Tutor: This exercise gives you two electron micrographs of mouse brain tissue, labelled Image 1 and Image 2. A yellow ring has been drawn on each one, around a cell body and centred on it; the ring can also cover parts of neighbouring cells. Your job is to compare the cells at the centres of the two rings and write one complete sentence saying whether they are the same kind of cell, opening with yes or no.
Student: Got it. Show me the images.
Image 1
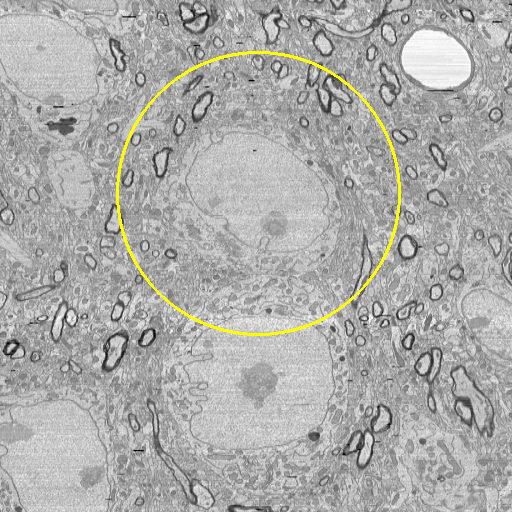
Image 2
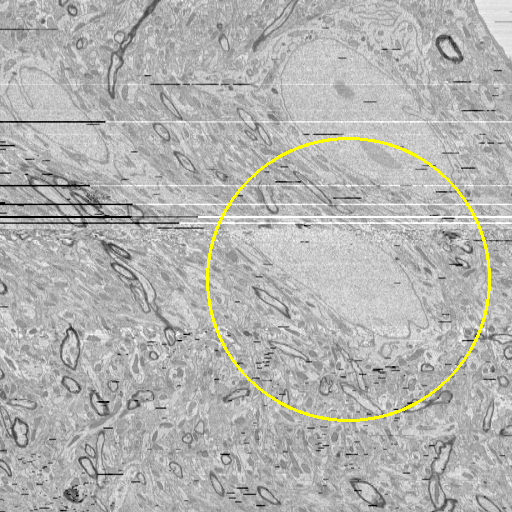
Yes, the two cells belong to the same kind.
